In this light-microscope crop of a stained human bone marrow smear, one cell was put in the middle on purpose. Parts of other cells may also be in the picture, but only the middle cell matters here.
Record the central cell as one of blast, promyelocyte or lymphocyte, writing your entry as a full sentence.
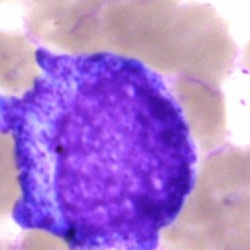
As for the central cell, it is a promyelocyte.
